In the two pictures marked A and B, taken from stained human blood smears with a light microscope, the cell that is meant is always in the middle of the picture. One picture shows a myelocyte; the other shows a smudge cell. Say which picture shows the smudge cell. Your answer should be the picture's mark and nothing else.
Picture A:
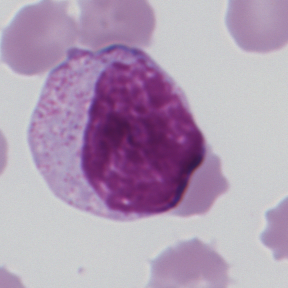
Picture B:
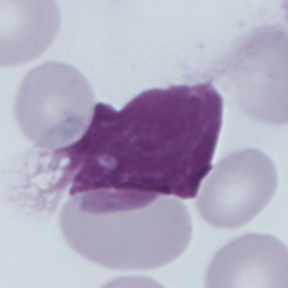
B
